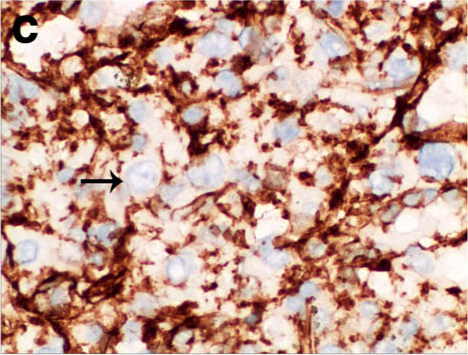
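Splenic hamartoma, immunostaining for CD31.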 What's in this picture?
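The brown-stained cells have thin, branching cytoplasmic processes that interlace between pale spaces. Scattered among them are large bizarre stromal cells with big, pale blue oval nuclei, one marked by an arrow, whose cytoplasm remains unstained. The channels are poorly formed and do not show an orderly arrangement.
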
